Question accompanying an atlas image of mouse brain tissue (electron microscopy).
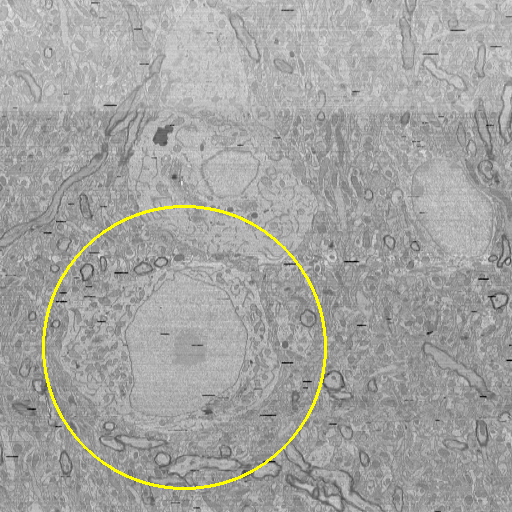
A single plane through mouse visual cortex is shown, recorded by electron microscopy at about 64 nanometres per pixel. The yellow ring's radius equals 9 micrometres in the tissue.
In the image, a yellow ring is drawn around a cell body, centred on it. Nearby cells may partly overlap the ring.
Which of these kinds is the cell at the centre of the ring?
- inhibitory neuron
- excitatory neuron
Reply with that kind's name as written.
inhibitory neuron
